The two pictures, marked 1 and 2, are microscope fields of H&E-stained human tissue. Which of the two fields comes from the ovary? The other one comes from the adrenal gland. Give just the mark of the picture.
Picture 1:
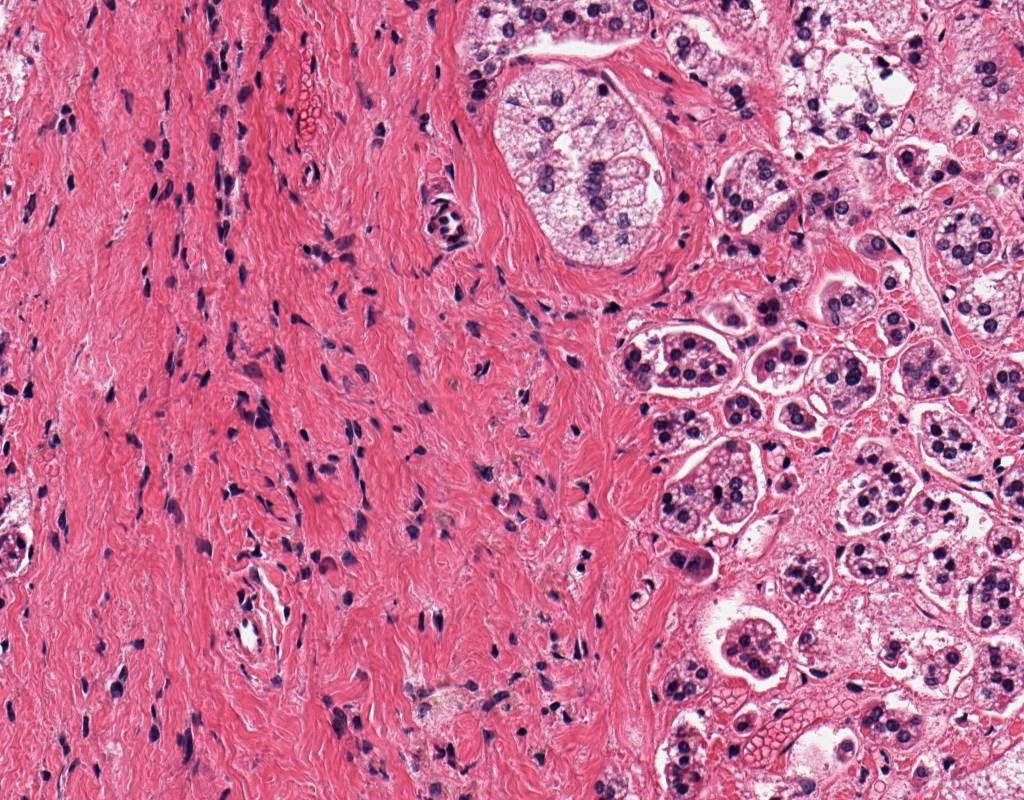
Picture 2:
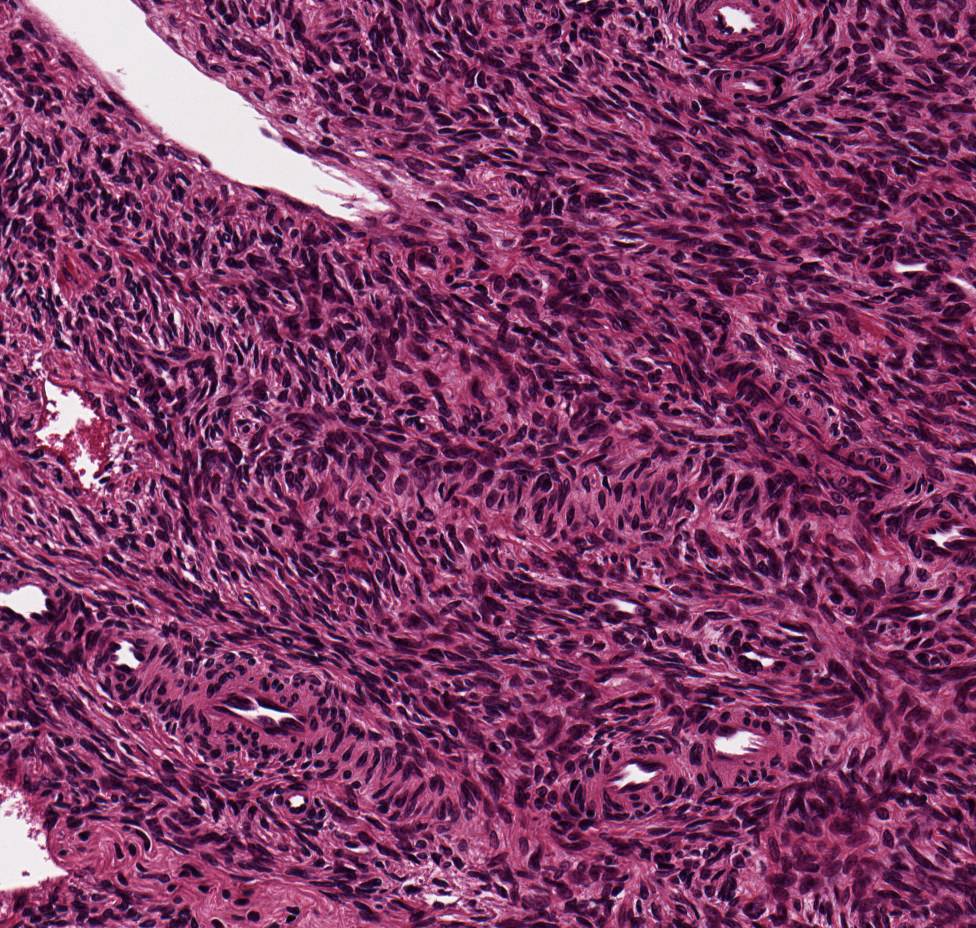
2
